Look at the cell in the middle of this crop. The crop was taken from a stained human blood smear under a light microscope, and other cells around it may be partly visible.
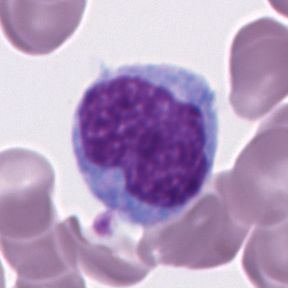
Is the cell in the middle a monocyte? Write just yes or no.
yes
